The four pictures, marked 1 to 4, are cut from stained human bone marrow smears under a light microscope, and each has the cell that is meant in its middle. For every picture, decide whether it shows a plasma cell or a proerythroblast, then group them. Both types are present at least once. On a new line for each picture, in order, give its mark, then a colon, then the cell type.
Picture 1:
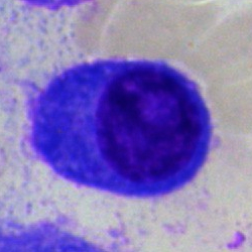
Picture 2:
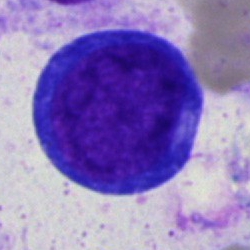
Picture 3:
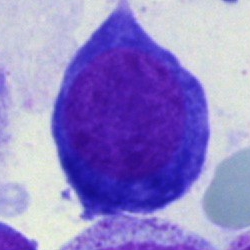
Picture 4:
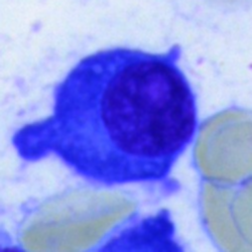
1: plasma cell
2: proerythroblast
3: proerythroblast
4: plasma cell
